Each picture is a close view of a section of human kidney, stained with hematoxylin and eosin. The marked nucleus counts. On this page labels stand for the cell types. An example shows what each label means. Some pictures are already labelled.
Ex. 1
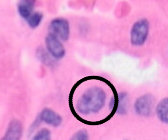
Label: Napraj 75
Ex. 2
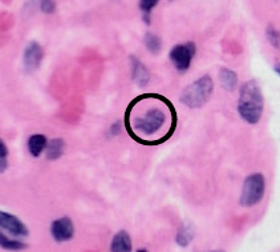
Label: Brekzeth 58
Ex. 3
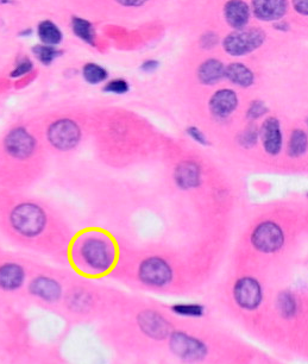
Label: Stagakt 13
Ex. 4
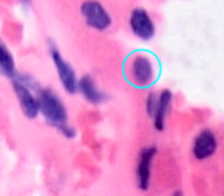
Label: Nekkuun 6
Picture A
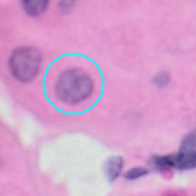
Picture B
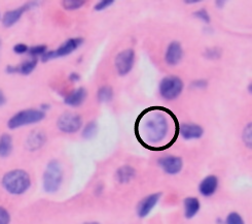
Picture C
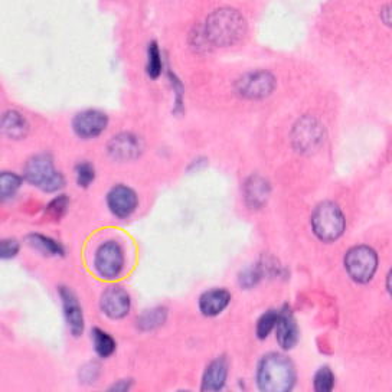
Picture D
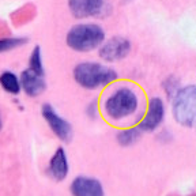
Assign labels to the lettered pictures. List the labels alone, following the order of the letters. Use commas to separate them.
Stagakt 13, Nekkuun 6, Nekkuun 6, Napraj 75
